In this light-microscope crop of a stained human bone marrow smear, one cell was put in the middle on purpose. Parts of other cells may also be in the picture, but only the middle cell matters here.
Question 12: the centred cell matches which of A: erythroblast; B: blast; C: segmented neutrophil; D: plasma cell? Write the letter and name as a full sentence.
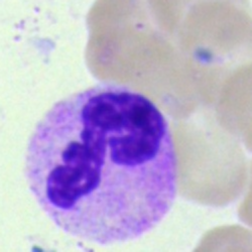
The correct option, C, names the middle cell as a segmented neutrophil.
